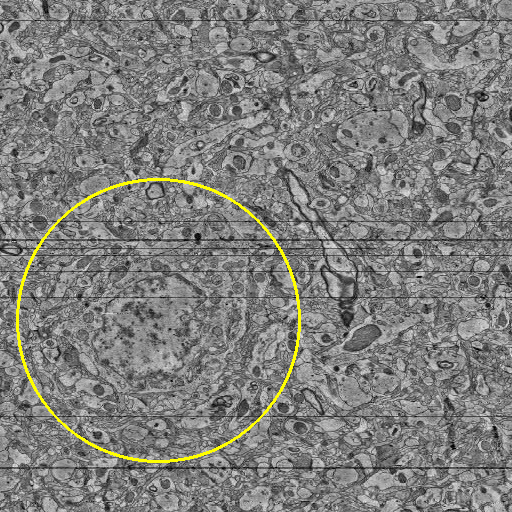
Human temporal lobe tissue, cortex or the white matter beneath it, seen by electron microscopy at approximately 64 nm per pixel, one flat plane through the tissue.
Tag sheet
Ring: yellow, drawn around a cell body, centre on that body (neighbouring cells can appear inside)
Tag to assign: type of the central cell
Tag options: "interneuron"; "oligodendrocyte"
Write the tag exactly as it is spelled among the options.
interneuron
